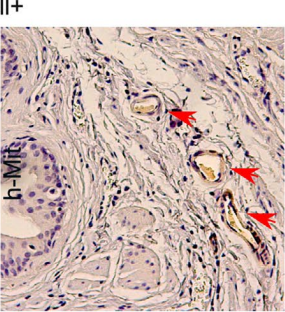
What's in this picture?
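This is connective tissue containing several small vessel-like structures, seen in brightfield. The vessel-like profiles are round to oval with open lumens and walls rimmed by brown stain. Around them lies pale, loosely arranged fibrous stroma with scattered dark blue-purple nuclei, many of them spindle-shaped. Toward the left edge lies a rounded cluster of more densely packed cells.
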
